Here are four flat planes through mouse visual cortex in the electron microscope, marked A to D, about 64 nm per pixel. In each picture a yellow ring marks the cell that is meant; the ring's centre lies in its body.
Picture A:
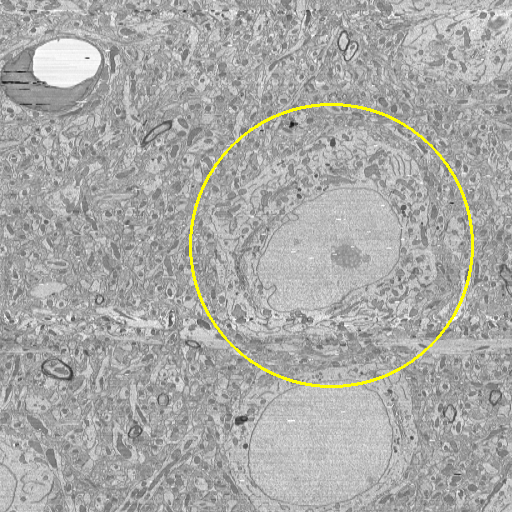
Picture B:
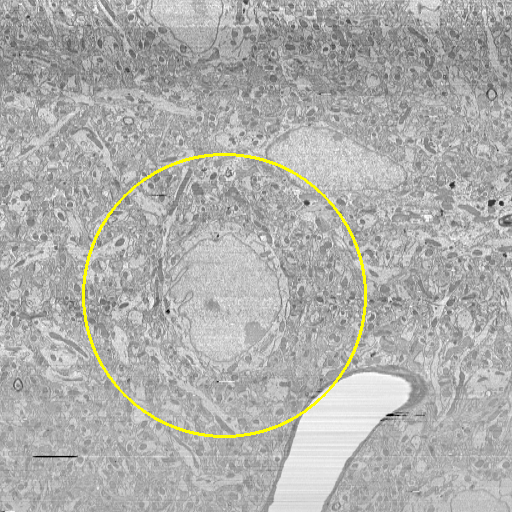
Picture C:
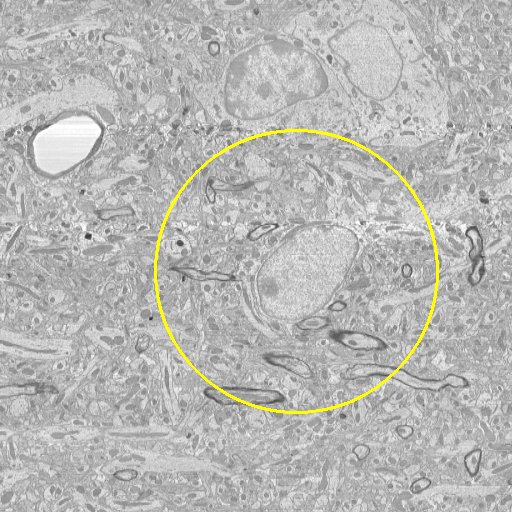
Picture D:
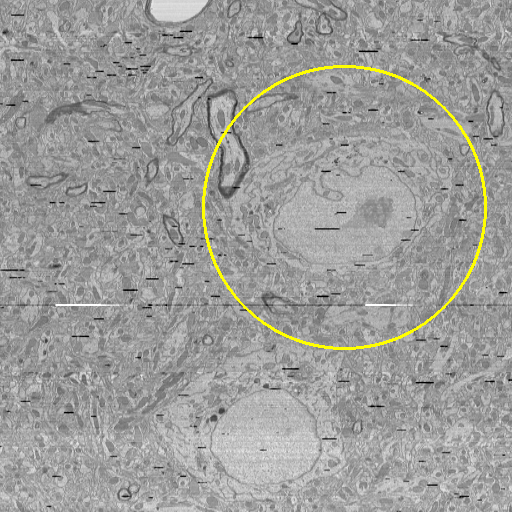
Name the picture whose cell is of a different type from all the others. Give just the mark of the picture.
C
